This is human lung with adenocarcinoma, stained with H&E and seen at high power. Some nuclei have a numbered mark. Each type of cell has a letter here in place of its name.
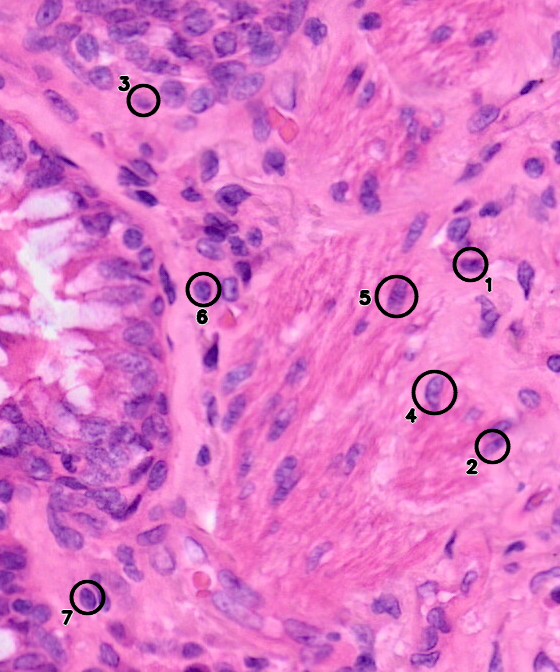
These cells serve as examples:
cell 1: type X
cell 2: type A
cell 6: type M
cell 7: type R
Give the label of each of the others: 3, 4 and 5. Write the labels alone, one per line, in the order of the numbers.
type M
type A
type A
